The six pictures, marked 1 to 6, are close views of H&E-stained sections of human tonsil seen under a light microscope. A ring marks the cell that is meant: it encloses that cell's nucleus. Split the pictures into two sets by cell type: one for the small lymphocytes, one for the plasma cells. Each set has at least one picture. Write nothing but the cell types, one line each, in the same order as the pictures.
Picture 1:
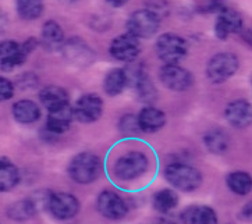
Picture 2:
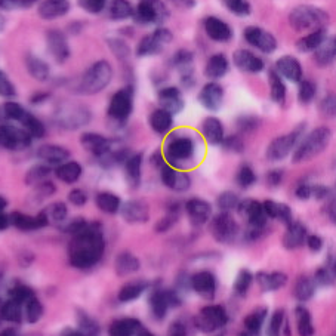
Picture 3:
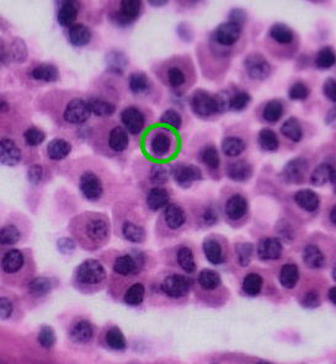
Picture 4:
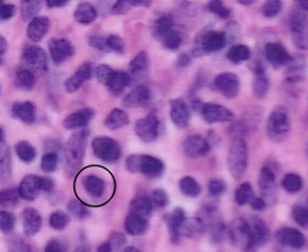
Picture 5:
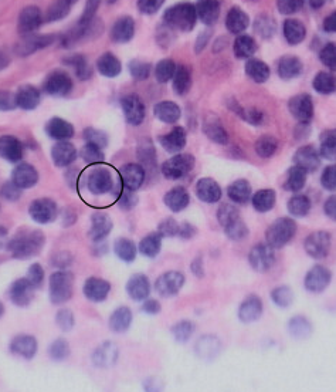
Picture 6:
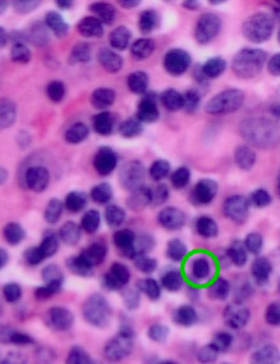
plasma cell
small lymphocyte
plasma cell
small lymphocyte
small lymphocyte
small lymphocyte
